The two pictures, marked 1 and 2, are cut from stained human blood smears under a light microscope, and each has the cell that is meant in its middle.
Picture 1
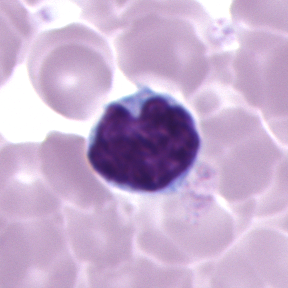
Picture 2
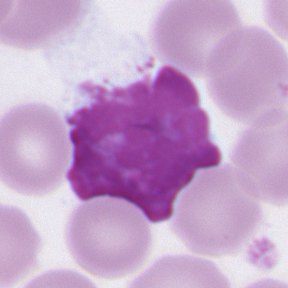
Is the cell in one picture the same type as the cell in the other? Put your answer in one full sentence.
No, the types are not the same, since picture 1 shows a typical lymphocyte and picture 2 a smudge cell.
